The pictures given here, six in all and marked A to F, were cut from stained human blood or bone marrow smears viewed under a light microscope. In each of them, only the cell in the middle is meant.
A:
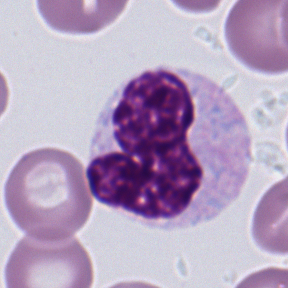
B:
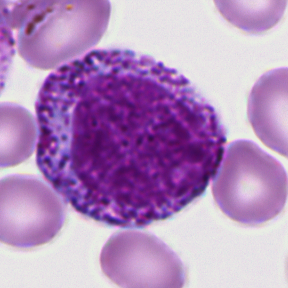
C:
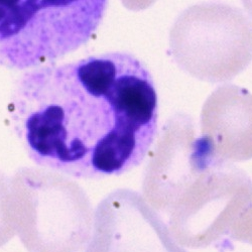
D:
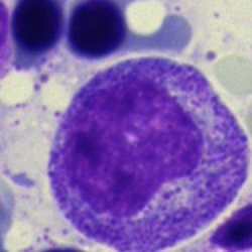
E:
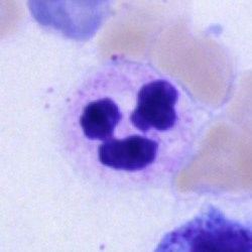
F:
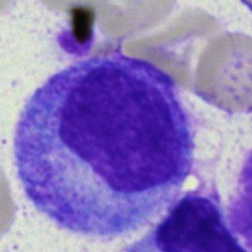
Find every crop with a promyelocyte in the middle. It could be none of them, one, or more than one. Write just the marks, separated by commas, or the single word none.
none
